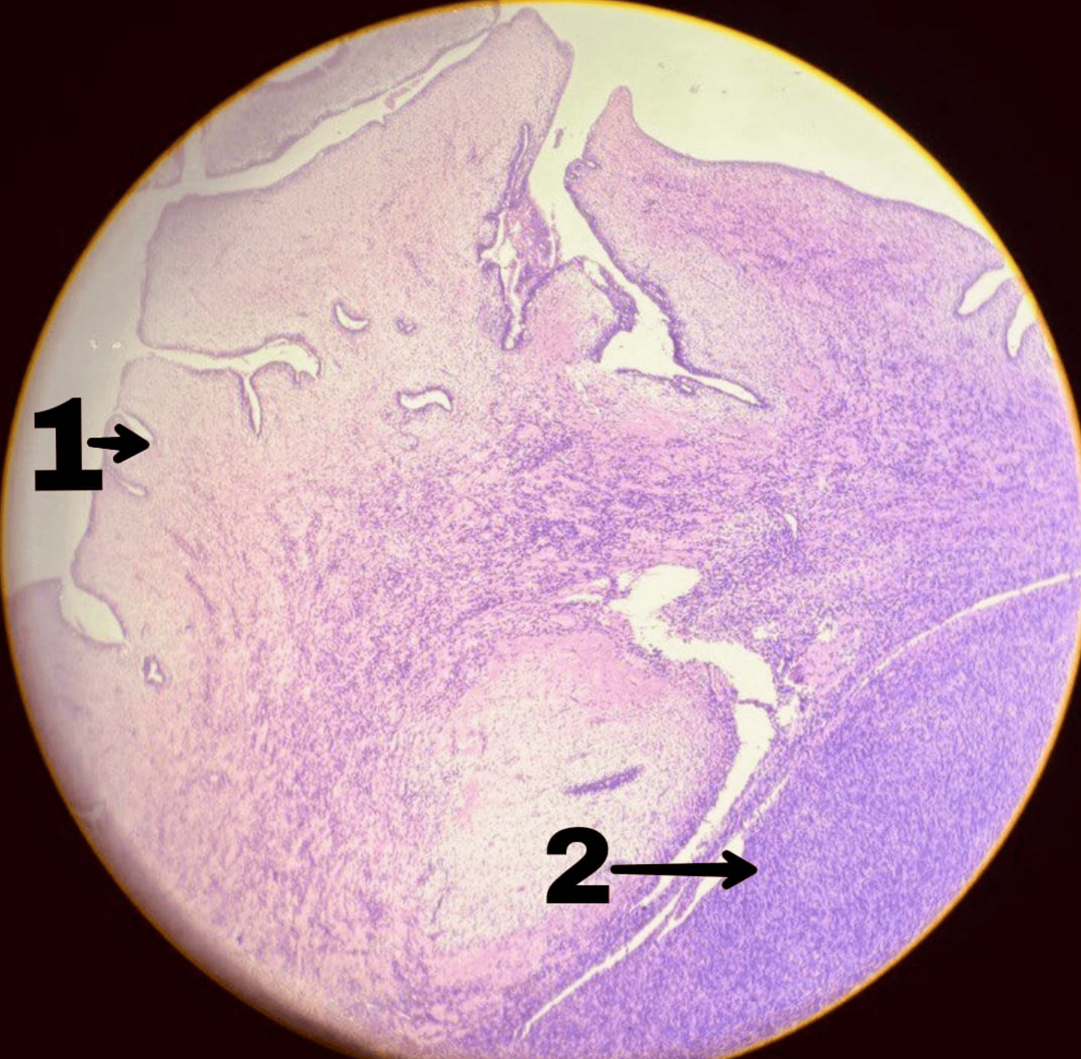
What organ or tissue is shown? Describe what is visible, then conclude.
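Phyllodes tumour. Elongated slit-like spaces divide the tissue into leaf-like fronds. Abundant stroma lies between the clefts.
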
